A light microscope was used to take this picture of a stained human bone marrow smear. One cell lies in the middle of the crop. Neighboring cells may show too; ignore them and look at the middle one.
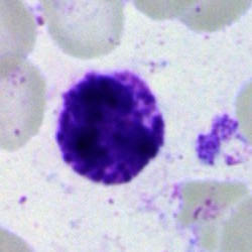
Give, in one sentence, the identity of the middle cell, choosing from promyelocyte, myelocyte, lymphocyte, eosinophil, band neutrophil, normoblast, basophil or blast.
The cell featured at the centre of this crop is a basophil.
